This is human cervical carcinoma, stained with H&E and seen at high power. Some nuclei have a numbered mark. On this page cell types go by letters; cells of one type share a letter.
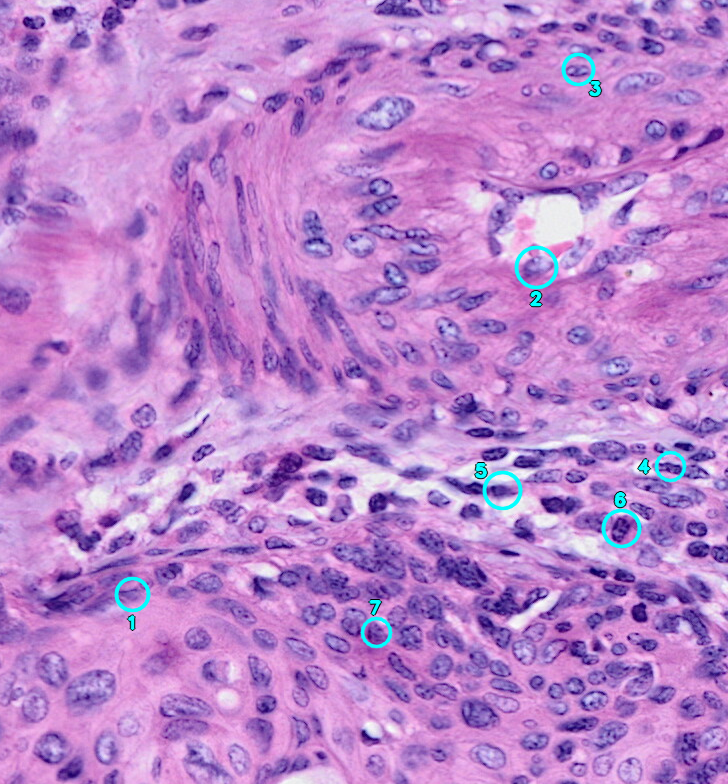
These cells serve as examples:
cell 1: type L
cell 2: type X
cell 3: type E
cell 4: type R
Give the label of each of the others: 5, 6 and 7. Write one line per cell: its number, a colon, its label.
5: type R
6: type R
7: type L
